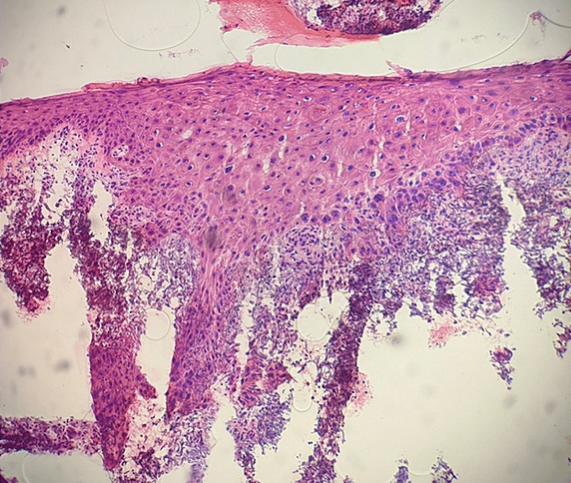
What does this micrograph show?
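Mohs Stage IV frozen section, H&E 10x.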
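This is thickened squamous epithelium made of keratinocytes showing atypia. The keratinocytes are large with abundant pink cytoplasm, and many carry enlarged, rounded, darker nuclei scattered through the full thickness rather than only at the base. A thin layer of pink keratin material lies at the top. From the base, irregular pointed projections of epithelium reach downward into tissue crowded with small dark blue cells, and the lower border is ragged.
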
